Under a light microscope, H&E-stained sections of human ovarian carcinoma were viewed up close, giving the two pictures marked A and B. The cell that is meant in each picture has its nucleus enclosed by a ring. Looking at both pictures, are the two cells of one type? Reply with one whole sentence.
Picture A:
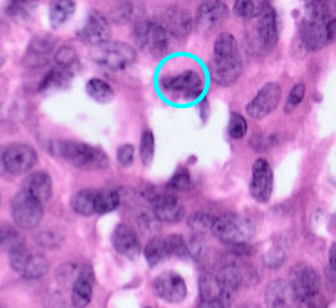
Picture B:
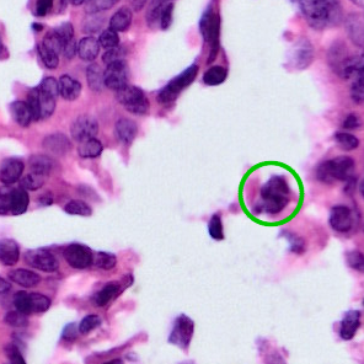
Yes, the two pictures both show “macrophages or monocytes”.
